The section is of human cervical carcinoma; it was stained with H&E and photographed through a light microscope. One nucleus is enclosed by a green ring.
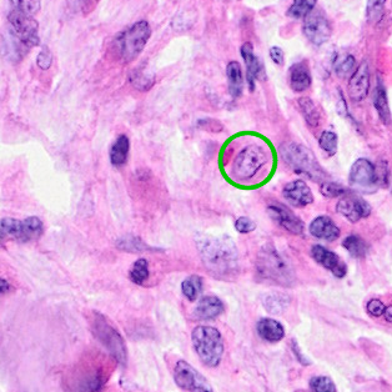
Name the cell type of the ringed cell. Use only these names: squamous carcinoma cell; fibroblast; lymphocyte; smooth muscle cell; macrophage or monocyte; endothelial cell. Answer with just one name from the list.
endothelial cell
